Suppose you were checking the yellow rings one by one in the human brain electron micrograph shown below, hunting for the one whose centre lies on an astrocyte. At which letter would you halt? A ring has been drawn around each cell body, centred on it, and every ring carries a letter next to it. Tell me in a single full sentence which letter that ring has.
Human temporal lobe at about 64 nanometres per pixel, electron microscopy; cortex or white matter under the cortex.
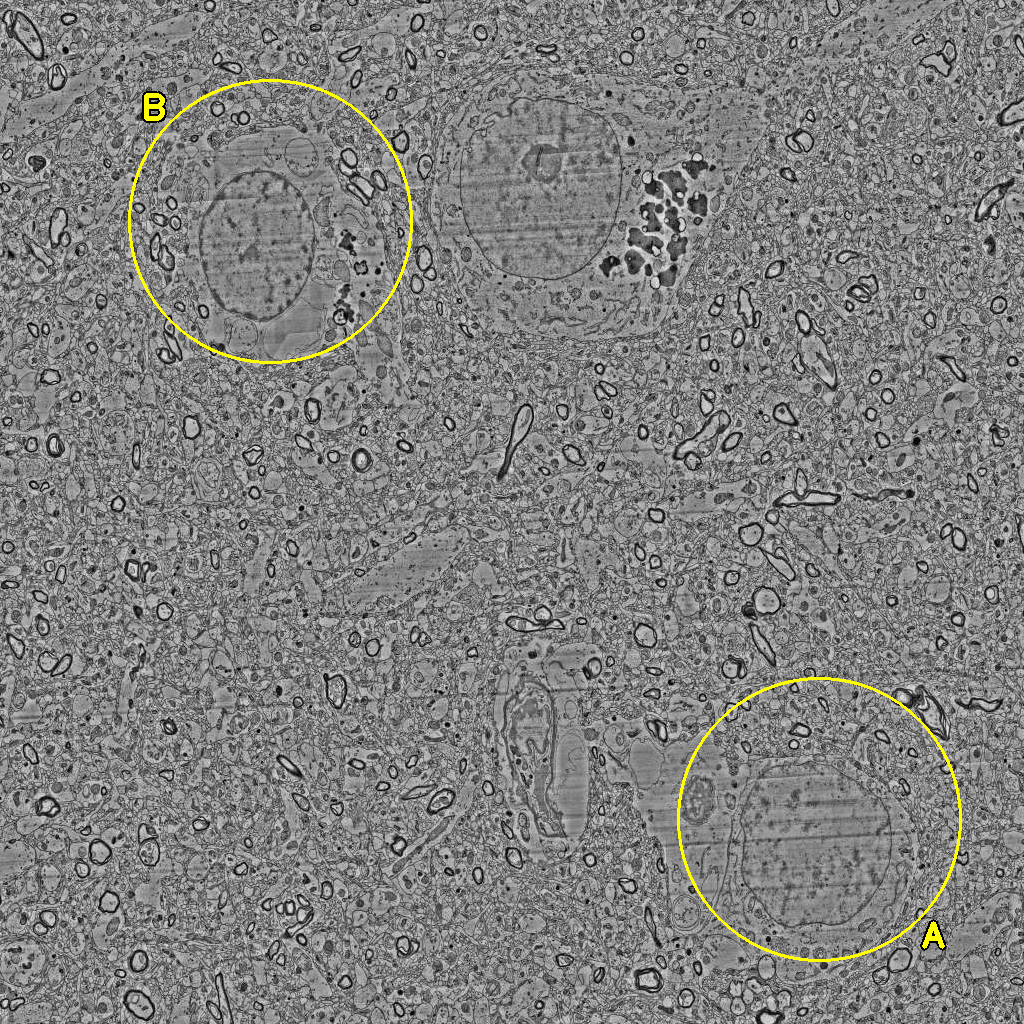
Going through the rings, I would stop at ring B, the one centred on the cell asked for.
